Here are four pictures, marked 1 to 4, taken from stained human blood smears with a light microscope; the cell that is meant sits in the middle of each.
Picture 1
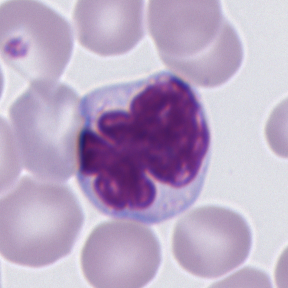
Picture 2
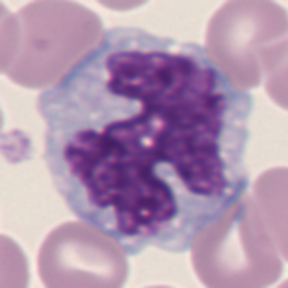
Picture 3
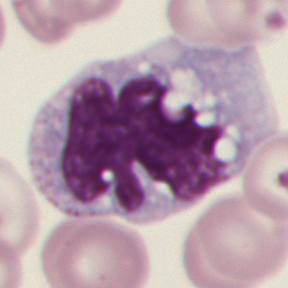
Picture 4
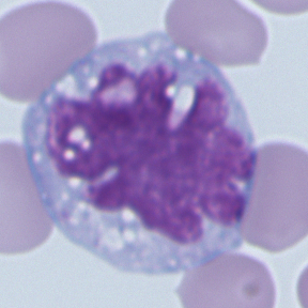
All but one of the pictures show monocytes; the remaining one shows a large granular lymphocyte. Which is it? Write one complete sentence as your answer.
It is picture 1 that shows the large granular lymphocyte.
